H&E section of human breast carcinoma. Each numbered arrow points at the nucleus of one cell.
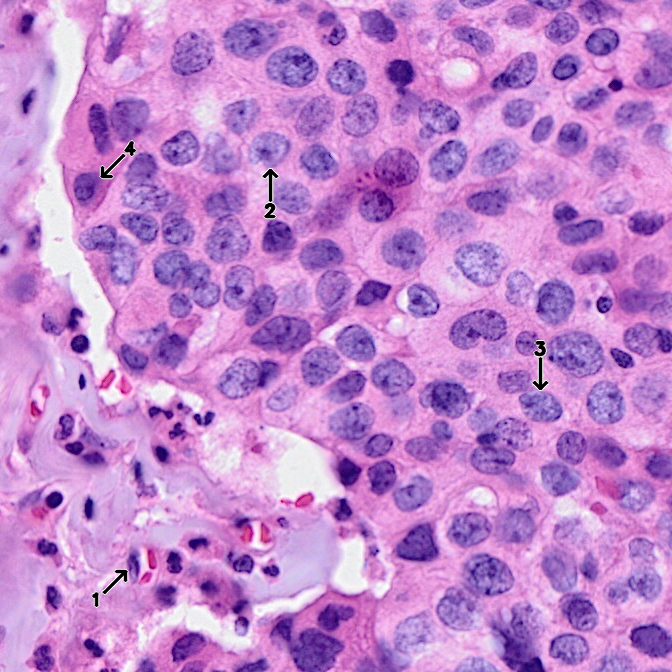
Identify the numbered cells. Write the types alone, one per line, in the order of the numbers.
endothelial cell
carcinoma cell
carcinoma cell
carcinoma cell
